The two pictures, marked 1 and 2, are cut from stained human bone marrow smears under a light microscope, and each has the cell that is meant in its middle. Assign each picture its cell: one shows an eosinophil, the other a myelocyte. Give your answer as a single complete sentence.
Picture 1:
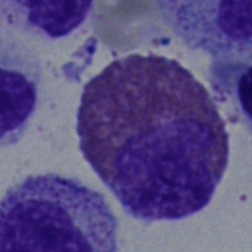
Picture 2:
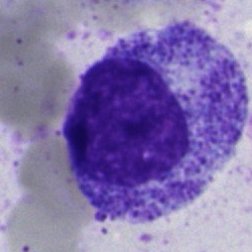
The cell in picture 1 is an eosinophil, and the one in picture 2 is a myelocyte.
